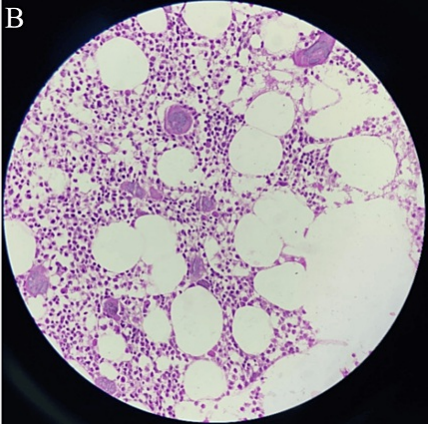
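This is a section of bone marrow in which large, clear, round fat spaces alternate with sheets of small, densely packed blood-forming cells that have dark purple nuclei. Scattered among them are several megakaryocytes, far bigger than any neighbouring cell, with plentiful pink cytoplasm and lobed, dark-staining nuclei. These giant cells are not isolated: several lie fairly close to one another in loose groups within the cellular areas between the fat spaces.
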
